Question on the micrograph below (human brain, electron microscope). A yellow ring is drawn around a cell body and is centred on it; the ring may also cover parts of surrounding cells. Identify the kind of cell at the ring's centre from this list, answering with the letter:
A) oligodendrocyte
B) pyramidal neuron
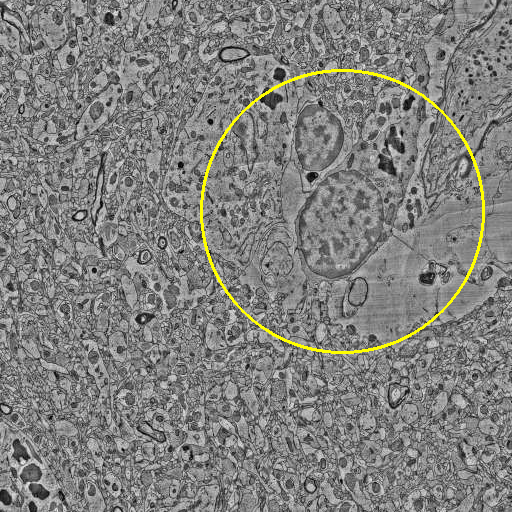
A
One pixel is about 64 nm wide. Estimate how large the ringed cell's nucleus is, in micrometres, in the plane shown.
Approximately 7 x 5 micrometres in this plane.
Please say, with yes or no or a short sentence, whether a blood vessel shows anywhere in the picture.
Yes, there is a blood vessel.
